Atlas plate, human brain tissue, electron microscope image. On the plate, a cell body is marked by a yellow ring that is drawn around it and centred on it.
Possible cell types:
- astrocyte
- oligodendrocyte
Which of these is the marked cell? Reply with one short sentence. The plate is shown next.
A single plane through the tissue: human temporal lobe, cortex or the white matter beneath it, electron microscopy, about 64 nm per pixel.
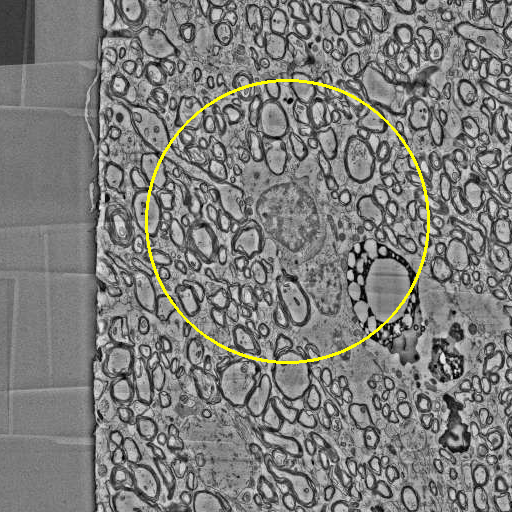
The marked cell is an oligodendrocyte.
